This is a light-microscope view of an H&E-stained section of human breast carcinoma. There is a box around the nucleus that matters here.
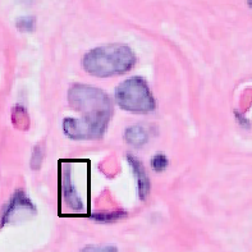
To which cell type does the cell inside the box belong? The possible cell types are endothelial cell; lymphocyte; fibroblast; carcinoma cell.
endothelial cell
